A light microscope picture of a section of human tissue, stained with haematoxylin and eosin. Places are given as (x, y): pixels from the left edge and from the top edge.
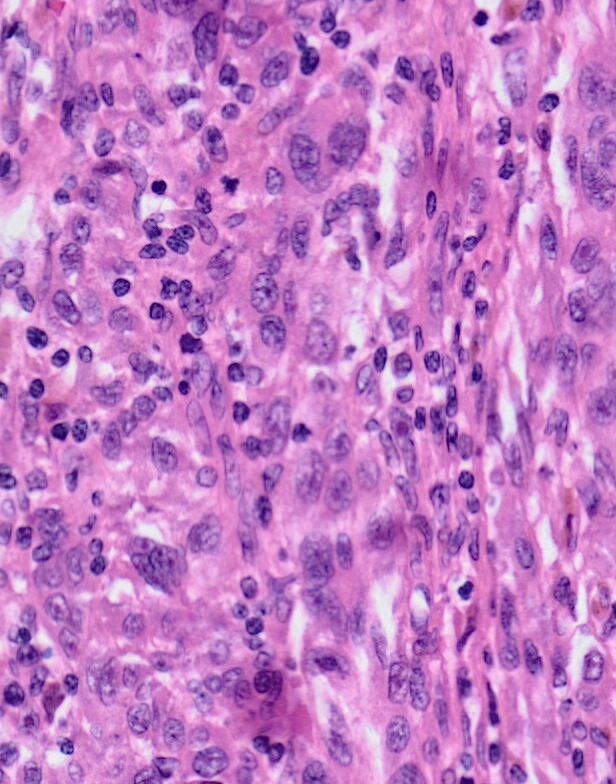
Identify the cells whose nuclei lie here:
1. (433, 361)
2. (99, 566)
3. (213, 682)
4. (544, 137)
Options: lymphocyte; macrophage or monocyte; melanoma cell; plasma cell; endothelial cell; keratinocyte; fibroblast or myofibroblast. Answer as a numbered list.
1. lymphocyte
2. lymphocyte
3. melanoma cell
4. macrophage or monocyte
